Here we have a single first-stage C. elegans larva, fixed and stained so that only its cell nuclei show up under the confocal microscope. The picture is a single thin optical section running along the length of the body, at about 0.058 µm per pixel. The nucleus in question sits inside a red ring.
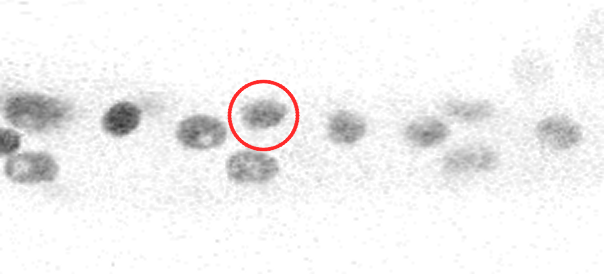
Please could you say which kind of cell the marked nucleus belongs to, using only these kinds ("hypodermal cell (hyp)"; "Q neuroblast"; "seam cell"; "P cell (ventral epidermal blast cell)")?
P cell (ventral epidermal blast cell)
